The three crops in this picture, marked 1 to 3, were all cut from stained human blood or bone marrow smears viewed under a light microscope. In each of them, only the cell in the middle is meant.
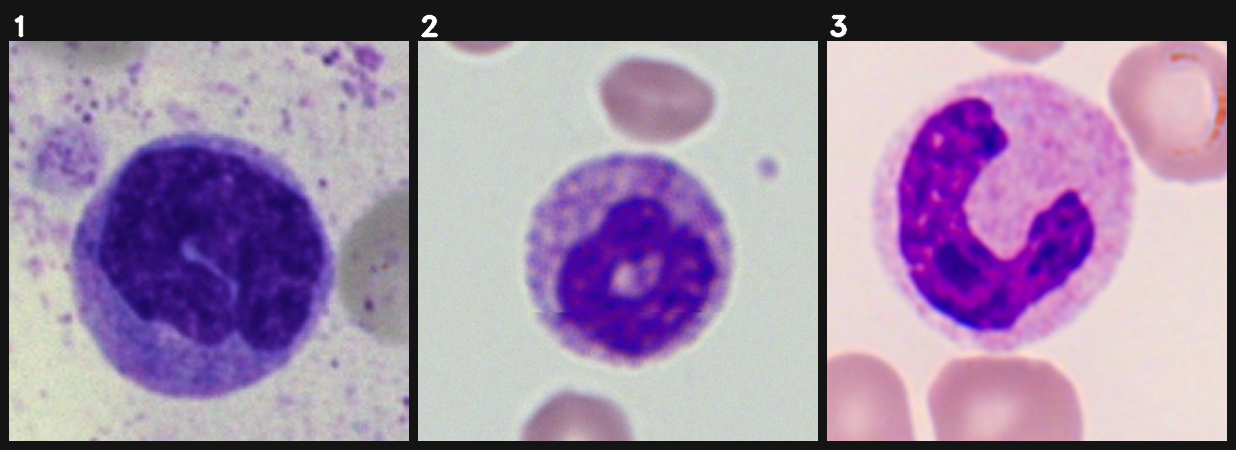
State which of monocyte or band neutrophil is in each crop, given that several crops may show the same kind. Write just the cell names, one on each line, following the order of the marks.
monocyte
band neutrophil
band neutrophil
